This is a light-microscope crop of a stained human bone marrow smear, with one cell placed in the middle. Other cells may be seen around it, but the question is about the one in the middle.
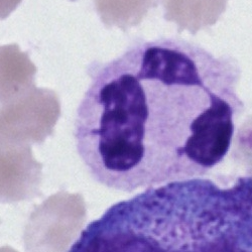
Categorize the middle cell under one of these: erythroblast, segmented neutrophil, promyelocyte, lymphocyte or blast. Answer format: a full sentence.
Framed in the middle of the crop is a segmented neutrophil.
